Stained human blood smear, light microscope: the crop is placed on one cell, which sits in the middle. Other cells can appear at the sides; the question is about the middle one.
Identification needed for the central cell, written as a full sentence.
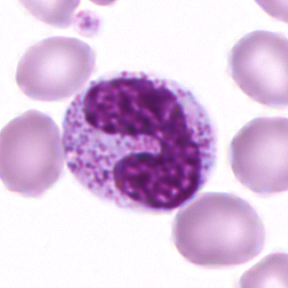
The cell at the central position in this crop is a band neutrophil.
